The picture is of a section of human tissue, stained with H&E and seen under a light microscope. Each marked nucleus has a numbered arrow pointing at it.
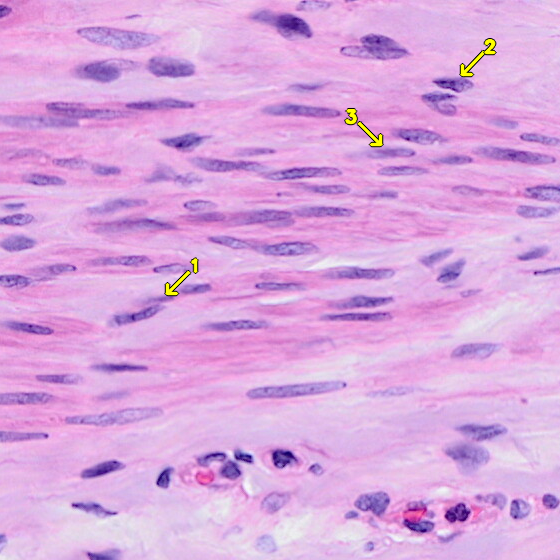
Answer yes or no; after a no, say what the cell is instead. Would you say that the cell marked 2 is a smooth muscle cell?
No, it is a fibroblast.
